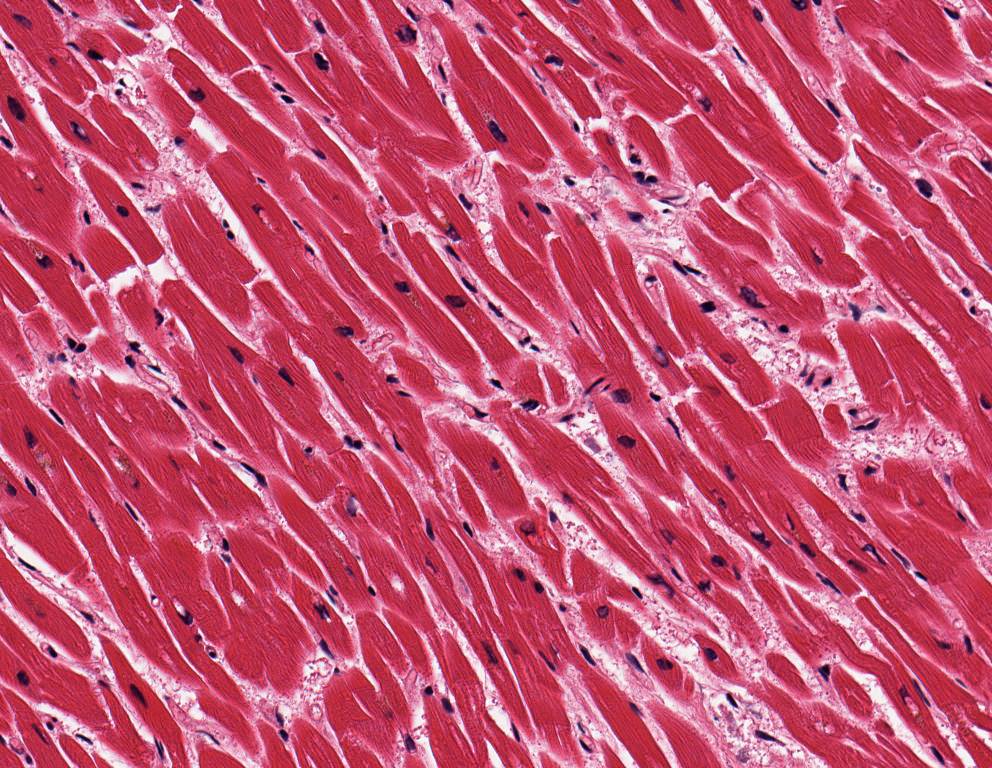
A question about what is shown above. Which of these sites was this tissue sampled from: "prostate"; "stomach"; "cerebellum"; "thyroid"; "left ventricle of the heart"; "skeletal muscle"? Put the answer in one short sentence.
The site this tissue was sampled from is the left ventricle of the heart.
